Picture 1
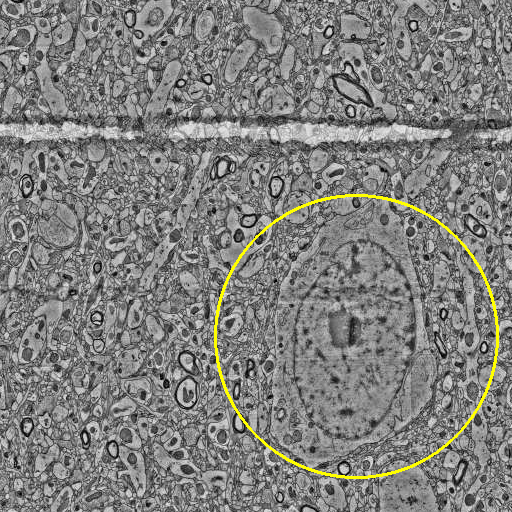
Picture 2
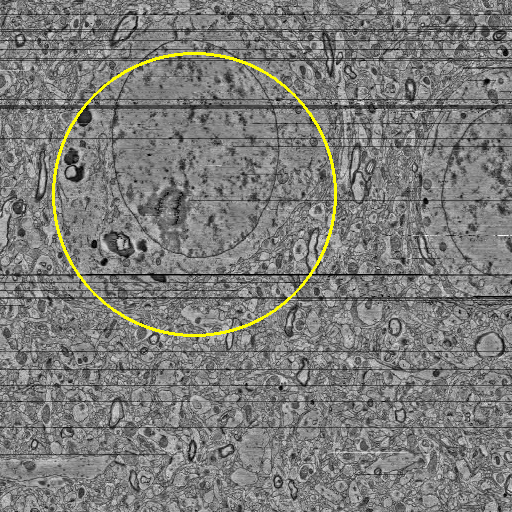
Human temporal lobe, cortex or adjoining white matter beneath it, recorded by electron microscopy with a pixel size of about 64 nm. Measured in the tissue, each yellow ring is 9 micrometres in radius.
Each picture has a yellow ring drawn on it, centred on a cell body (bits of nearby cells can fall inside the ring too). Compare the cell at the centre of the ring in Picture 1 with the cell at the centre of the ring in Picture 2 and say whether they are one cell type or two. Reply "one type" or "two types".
two types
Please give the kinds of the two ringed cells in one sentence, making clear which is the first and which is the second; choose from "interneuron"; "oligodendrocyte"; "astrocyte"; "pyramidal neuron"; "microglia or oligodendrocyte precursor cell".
In the second picture the ringed cell is a pyramidal neuron; in the first it is an interneuron.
